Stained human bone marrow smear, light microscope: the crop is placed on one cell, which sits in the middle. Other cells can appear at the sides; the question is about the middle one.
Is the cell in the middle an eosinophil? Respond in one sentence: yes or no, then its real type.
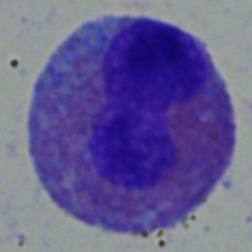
Yes, an eosinophil is present in the middle of the crop.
